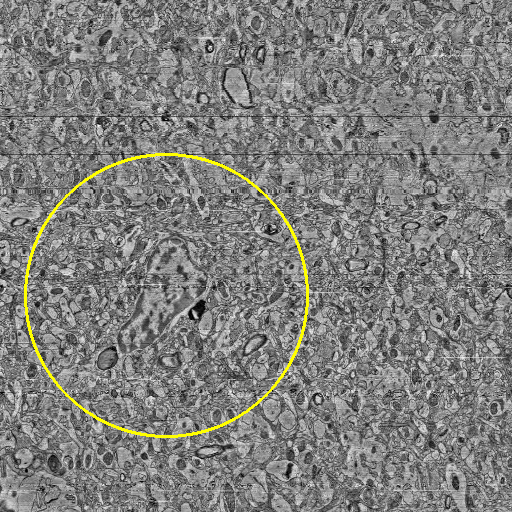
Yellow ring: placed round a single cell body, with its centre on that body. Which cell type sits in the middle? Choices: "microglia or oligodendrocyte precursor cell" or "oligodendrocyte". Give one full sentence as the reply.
It is a microglial cell or oligodendrocyte precursor cell whose cell body sits at the centre of the yellow ring.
